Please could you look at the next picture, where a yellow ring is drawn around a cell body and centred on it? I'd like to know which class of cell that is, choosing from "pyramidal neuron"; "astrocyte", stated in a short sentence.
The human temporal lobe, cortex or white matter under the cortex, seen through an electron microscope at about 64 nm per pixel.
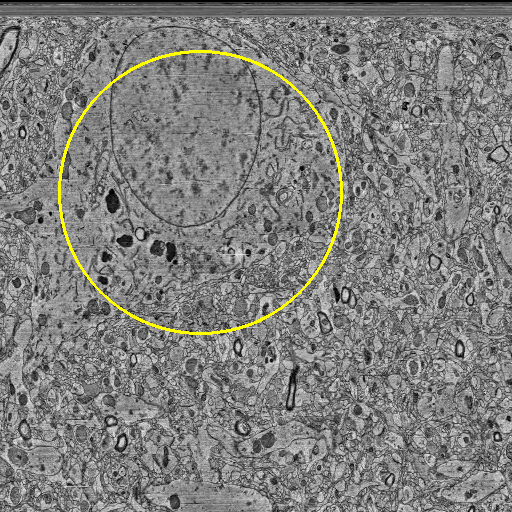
The ring's centre lies on a pyramidal neuron.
